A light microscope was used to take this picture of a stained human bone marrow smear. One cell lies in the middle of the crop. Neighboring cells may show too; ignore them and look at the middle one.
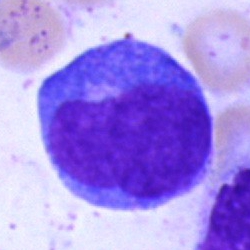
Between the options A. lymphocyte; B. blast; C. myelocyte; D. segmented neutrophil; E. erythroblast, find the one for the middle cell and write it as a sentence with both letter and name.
Since the middle cell is a blast, option B is the right one.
